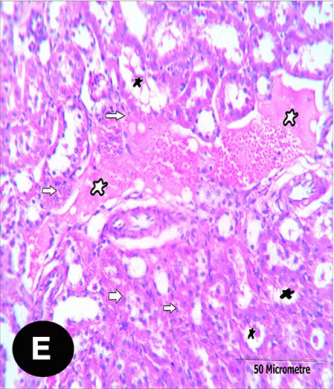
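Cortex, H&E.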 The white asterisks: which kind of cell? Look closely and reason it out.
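Blood cells. A band of small round red-pink anucleate cells fills the space at the white asterisks. The red cells lie between the tubules.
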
